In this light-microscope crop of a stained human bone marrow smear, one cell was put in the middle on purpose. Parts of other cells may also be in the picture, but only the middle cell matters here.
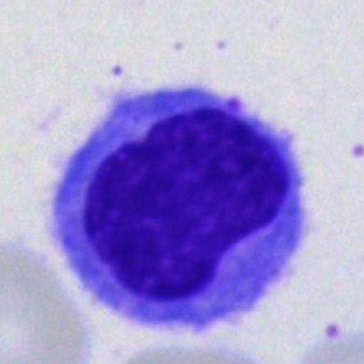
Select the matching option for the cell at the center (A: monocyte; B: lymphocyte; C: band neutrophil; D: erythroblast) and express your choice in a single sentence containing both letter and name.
Occupying the middle of the crop is a monocyte, hence option A is correct.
